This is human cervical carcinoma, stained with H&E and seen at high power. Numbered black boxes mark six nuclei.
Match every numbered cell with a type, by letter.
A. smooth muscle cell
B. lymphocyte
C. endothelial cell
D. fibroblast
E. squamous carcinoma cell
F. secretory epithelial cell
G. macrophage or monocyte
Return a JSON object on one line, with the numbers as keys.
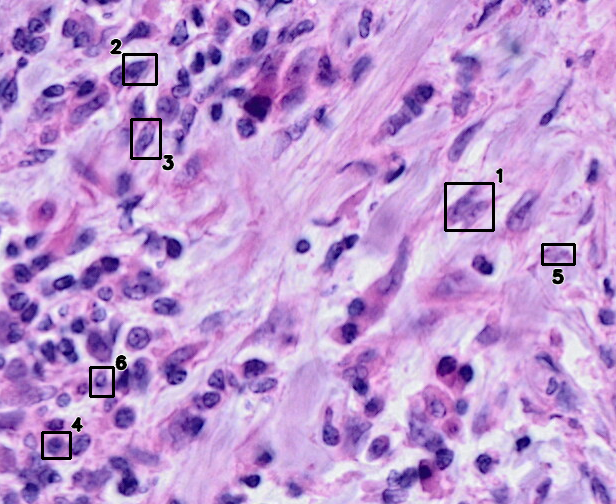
{"1": "D", "2": "B", "3": "B", "4": "B", "5": "D", "6": "B"}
